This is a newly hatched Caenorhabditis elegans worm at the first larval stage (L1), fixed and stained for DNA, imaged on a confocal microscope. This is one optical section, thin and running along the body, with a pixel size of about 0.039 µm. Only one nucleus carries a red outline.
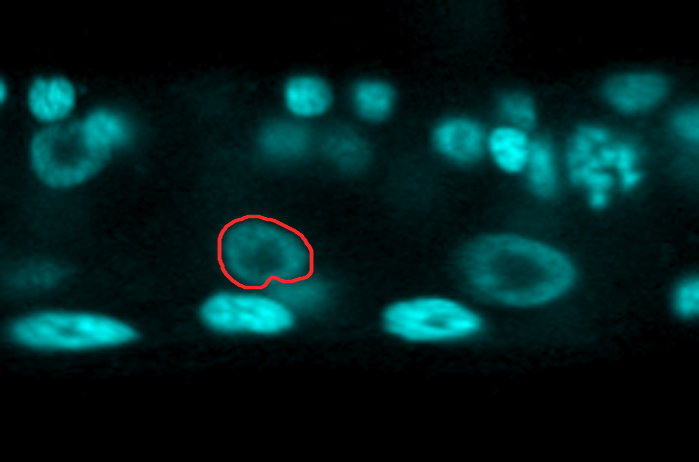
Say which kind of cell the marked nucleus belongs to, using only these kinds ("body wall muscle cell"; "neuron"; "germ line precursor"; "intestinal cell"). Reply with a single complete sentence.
The nucleus comes from an intestinal cell.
